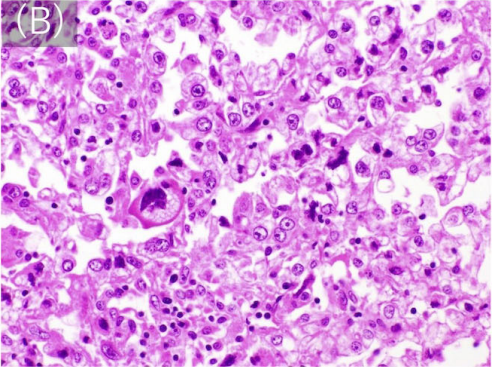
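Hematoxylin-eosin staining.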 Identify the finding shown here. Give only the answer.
malformed and large nuclei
